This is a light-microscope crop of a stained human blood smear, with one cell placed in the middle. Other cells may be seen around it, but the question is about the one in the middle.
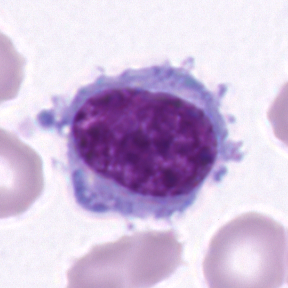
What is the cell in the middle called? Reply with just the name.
plasma cell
